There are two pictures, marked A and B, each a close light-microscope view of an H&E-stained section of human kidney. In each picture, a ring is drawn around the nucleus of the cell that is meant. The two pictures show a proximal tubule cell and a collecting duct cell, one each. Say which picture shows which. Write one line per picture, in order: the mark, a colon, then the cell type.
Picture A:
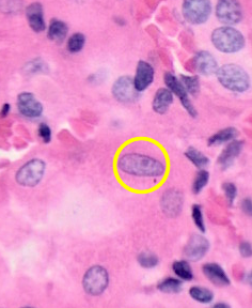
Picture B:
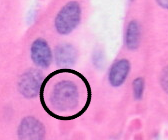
A: proximal tubule cell
B: collecting duct cell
